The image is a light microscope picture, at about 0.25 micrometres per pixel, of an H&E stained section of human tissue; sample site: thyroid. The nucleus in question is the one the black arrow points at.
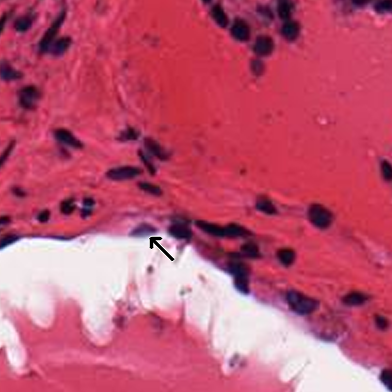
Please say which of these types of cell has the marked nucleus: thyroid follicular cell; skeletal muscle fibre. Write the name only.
thyroid follicular cell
